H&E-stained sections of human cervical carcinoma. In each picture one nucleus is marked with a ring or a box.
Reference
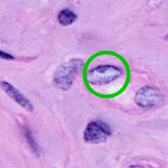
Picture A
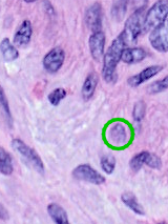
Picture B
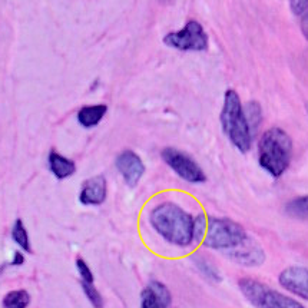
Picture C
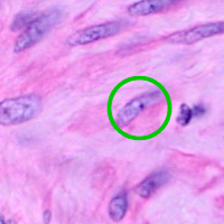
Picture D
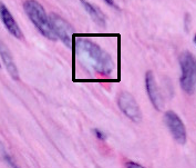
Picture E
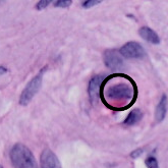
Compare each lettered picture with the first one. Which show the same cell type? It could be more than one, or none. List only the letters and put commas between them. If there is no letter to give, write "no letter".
B, D, E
